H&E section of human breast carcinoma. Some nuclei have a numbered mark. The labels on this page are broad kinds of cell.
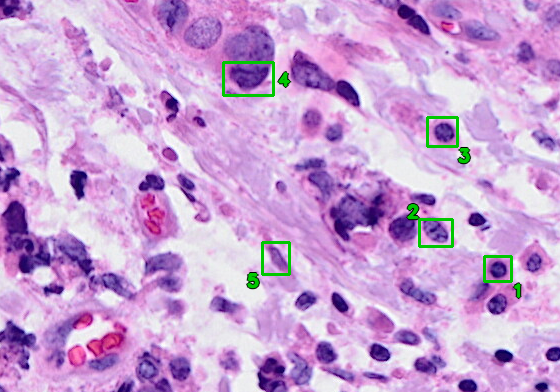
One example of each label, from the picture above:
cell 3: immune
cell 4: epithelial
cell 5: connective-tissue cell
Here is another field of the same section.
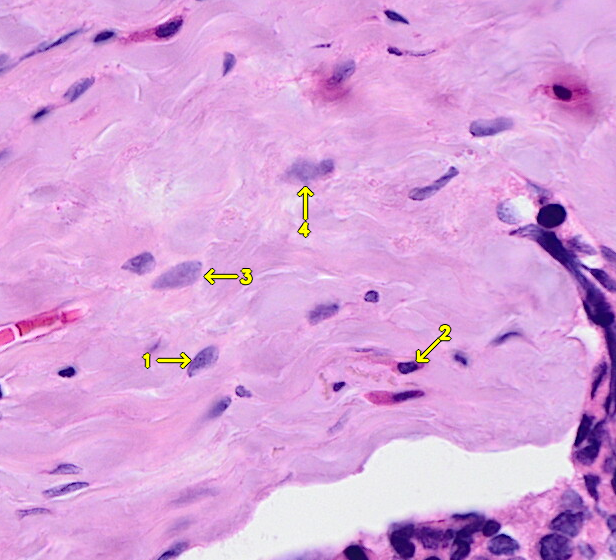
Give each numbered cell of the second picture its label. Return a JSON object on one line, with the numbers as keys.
{"1": "connective-tissue cell", "2": "immune", "3": "connective-tissue cell", "4": "connective-tissue cell"}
